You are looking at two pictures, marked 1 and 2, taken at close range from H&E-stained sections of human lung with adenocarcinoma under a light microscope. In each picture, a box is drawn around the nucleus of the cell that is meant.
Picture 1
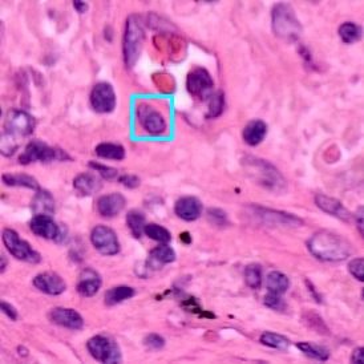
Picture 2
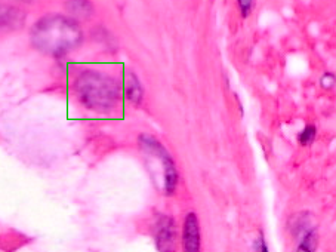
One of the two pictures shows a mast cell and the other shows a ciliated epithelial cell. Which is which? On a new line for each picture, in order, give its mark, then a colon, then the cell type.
1: mast cell
2: ciliated epithelial cell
